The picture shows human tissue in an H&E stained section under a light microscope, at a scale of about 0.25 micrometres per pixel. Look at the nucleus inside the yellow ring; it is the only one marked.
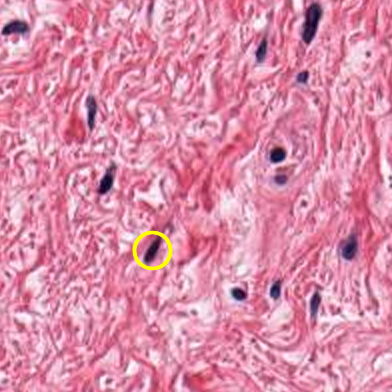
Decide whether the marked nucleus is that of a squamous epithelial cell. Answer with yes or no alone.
no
